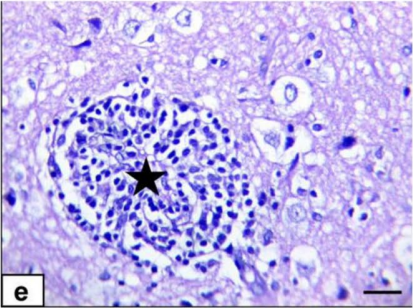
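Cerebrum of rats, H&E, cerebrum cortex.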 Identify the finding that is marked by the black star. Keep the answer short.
focal gliosis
